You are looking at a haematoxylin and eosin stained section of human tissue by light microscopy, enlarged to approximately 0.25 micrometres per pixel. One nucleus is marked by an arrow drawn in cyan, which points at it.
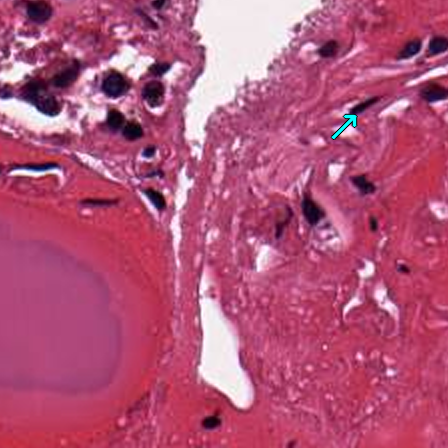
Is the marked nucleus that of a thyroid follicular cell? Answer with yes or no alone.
no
